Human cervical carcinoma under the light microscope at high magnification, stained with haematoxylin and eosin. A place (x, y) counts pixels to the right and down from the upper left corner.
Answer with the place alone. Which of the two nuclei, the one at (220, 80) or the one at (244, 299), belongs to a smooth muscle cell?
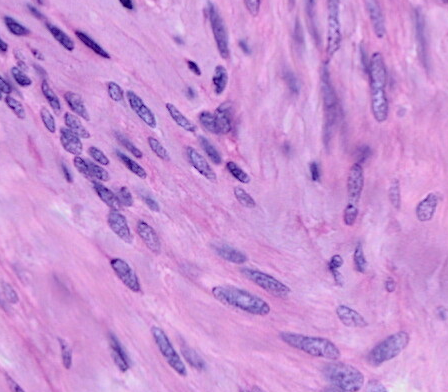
(244, 299)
